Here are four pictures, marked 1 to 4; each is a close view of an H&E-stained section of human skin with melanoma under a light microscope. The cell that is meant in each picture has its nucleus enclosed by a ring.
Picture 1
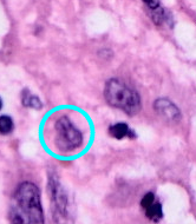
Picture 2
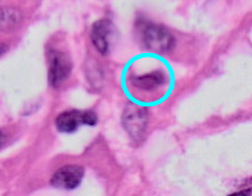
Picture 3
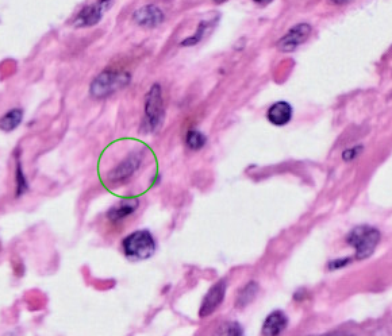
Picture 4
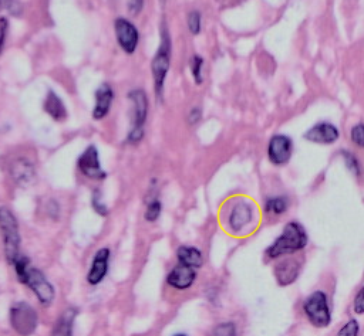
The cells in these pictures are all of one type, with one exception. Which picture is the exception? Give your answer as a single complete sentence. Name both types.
The different one is picture 2; it shows a melanoma cell, whereas all the others show “macrophages or monocytes”.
